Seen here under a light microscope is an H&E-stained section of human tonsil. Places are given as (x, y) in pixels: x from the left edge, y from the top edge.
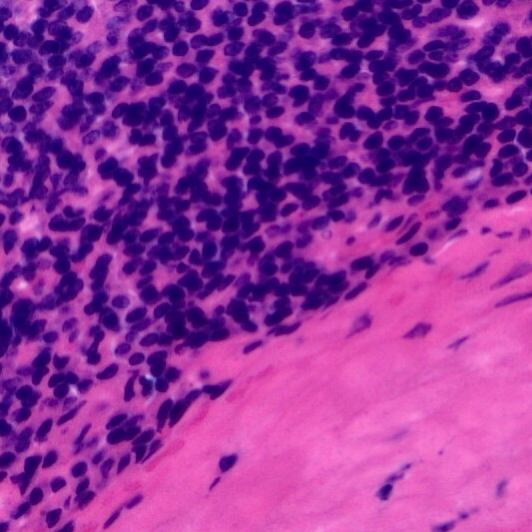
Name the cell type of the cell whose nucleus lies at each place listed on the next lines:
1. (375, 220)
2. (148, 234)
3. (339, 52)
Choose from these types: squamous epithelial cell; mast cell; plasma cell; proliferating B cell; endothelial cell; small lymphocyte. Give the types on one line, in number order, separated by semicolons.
endothelial cell; small lymphocyte; small lymphocyte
